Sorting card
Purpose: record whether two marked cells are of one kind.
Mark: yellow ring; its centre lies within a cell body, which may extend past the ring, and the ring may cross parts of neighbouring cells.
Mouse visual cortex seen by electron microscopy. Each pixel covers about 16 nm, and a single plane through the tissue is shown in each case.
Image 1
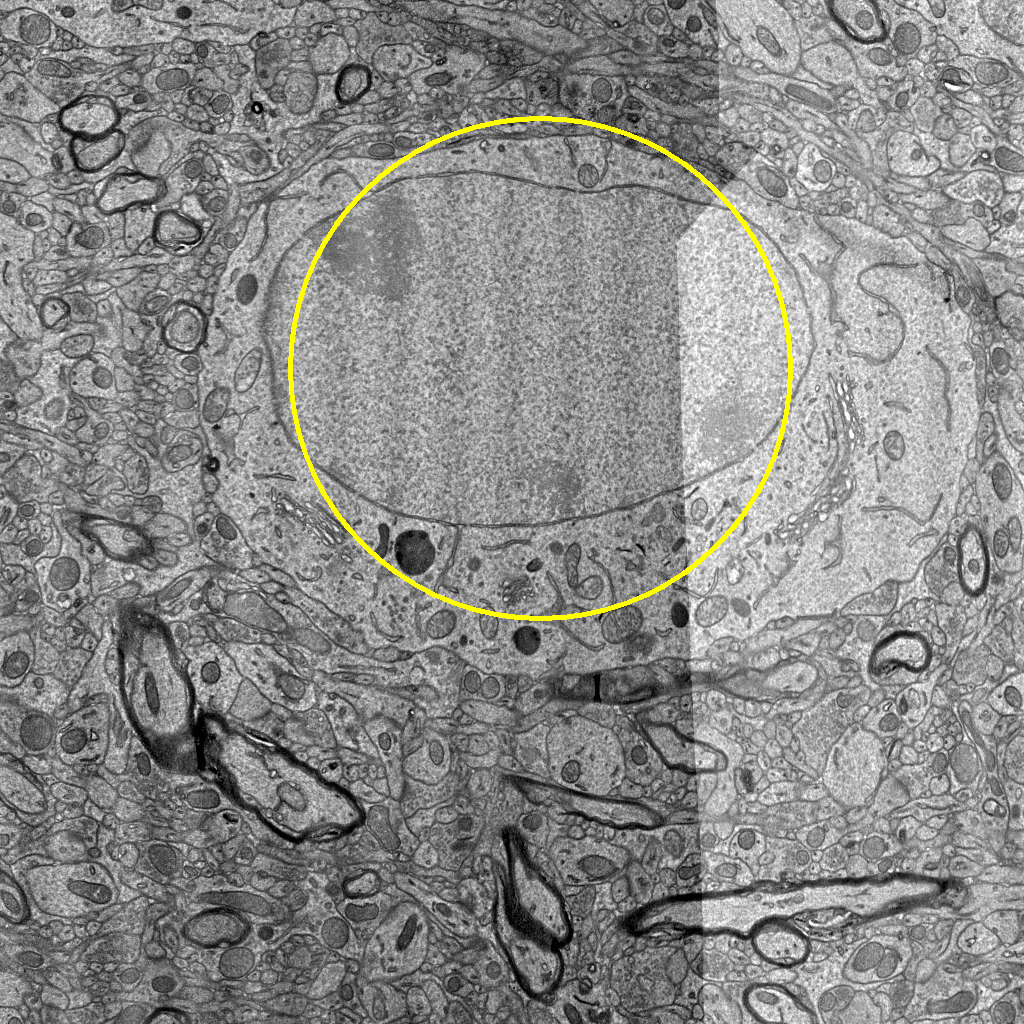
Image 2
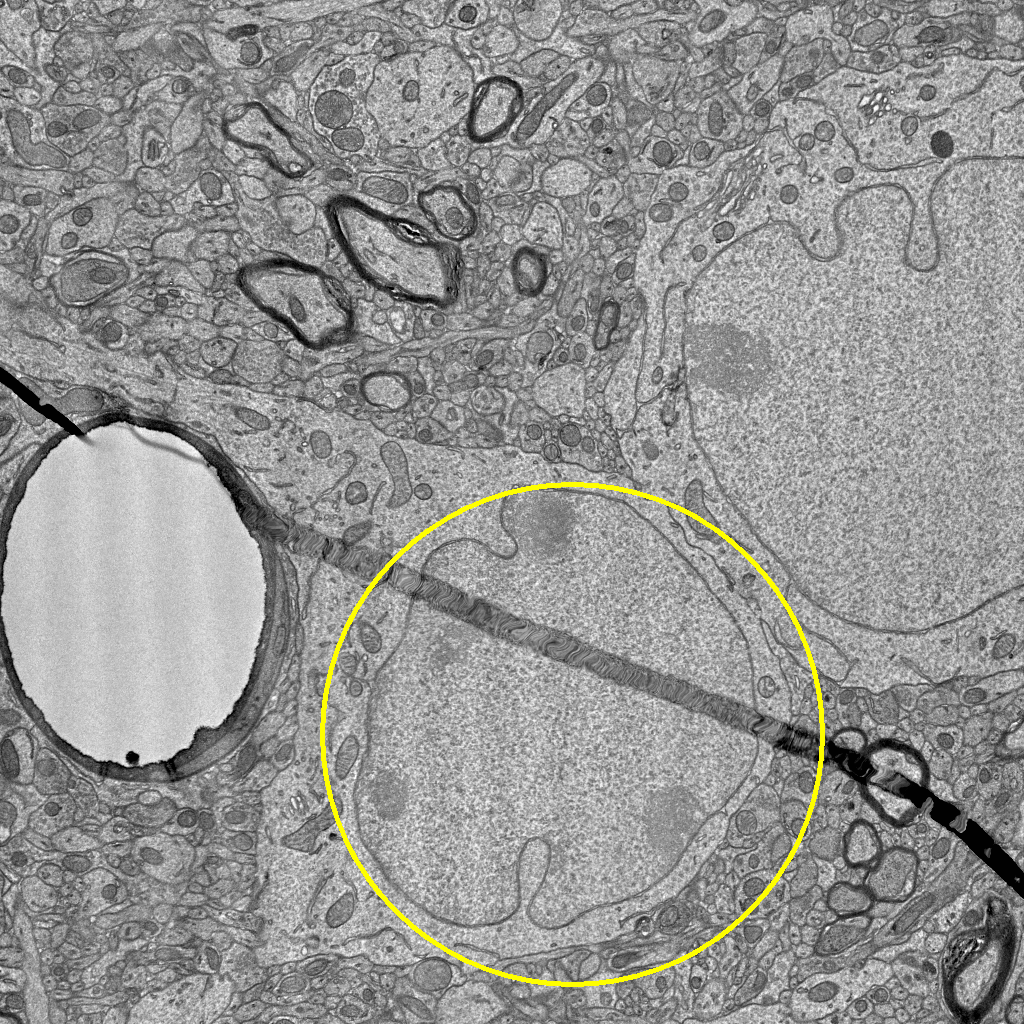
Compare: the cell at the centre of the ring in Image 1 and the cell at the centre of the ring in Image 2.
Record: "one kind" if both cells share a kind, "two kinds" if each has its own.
one kind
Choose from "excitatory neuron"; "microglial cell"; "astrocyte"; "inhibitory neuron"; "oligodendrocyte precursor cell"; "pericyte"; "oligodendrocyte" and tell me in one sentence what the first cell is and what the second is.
Both cells are the same kind, each one being an excitatory neuron.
